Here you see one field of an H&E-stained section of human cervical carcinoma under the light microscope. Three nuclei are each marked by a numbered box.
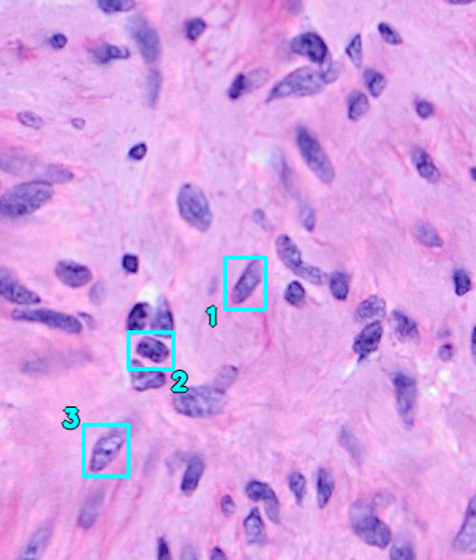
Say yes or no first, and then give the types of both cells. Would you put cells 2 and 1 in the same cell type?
No, with respect, cell 2 is a lymphocyte and cell 1 is a smooth muscle cell.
